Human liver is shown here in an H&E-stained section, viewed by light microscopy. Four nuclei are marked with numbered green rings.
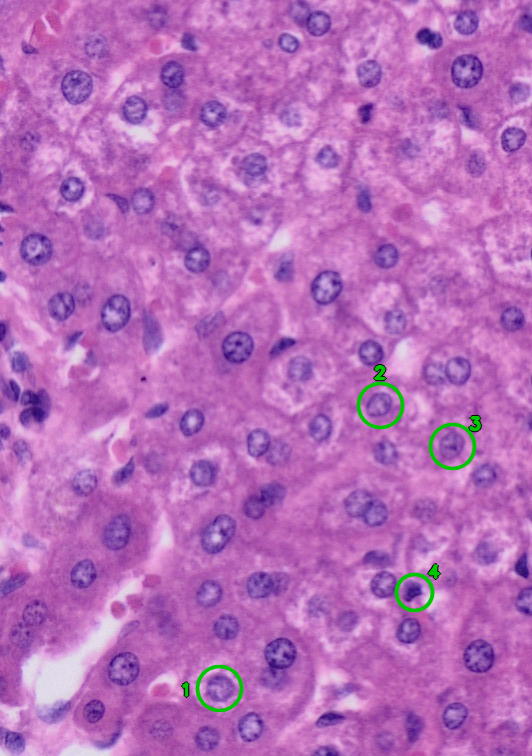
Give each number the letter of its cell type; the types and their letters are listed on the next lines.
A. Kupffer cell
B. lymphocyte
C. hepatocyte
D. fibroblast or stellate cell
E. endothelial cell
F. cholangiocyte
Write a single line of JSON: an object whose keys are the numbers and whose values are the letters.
{"1": "C", "2": "C", "3": "C", "4": "D"}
